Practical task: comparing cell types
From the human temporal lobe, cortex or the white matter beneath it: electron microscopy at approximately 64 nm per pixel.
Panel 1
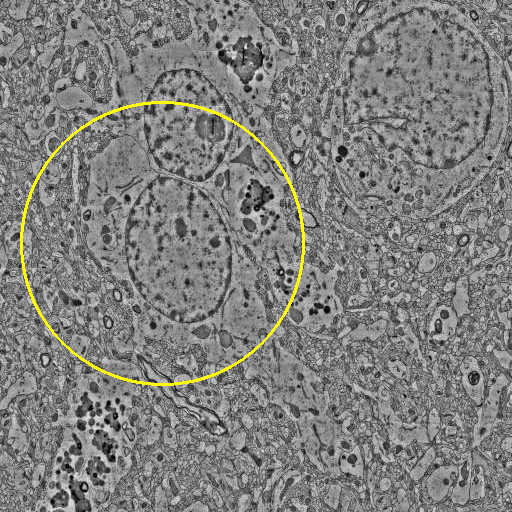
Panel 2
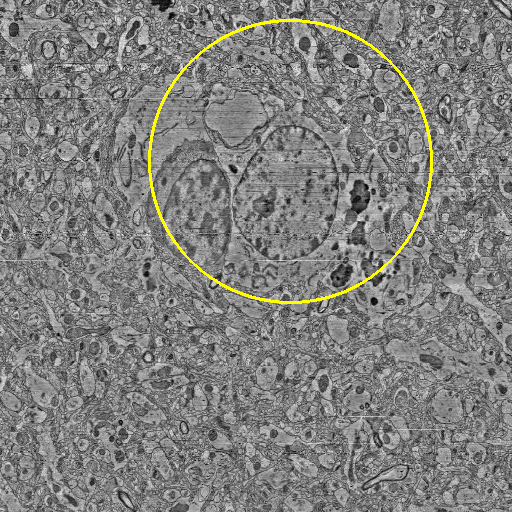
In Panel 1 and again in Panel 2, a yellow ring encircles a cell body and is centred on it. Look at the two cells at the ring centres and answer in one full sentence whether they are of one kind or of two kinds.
The two cells sitting at the ring centres of Panels 1 and 2 are of one kind.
